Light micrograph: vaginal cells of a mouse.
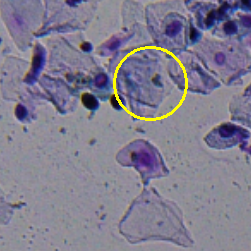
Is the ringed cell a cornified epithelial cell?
Yes, it is a cornified epithelial cell.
